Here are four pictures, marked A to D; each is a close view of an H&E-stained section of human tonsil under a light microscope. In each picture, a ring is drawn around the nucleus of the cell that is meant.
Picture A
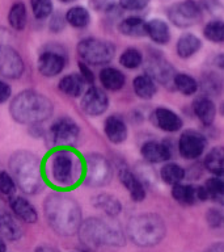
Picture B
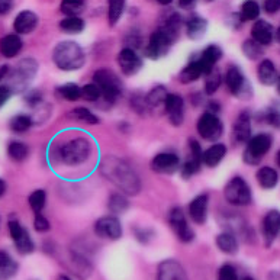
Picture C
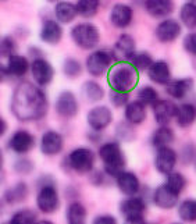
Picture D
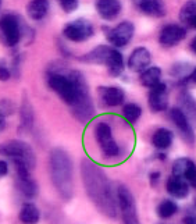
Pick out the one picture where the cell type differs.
C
